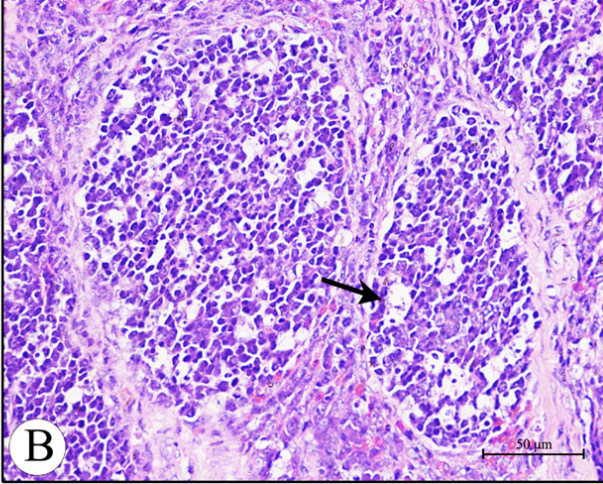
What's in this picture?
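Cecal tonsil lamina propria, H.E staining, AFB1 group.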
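Two rounded lymphatic nodules lie side by side, each crowded with small round cells whose dark purple nuclei fill most of the cell. The nodules are bounded by thin bands of pale pink fibrous tissue containing elongated, spindle-shaped nuclei. Within the nodules the cells are loosely packed, with many clear, unstained gaps and vacuoles scattered among them, one of which is pointed out by an arrow.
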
